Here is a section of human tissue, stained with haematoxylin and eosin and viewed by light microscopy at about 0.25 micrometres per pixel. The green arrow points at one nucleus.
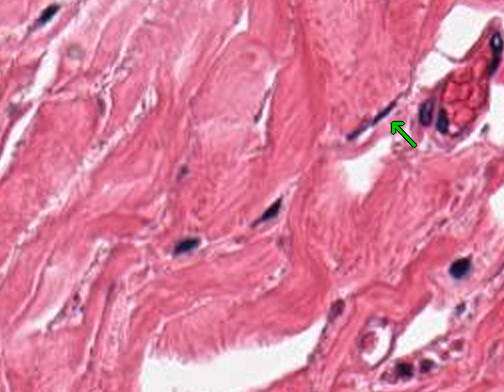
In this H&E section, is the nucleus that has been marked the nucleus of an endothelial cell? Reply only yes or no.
no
